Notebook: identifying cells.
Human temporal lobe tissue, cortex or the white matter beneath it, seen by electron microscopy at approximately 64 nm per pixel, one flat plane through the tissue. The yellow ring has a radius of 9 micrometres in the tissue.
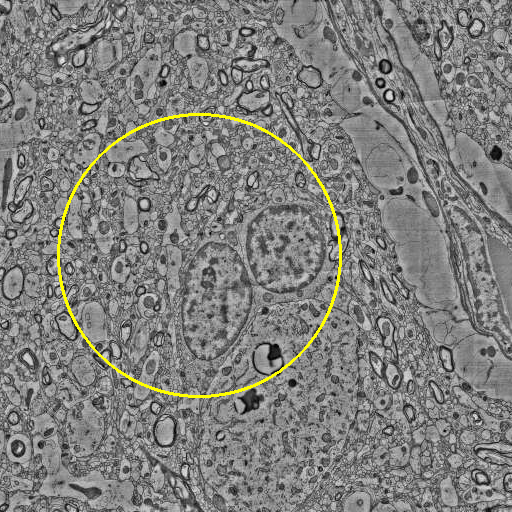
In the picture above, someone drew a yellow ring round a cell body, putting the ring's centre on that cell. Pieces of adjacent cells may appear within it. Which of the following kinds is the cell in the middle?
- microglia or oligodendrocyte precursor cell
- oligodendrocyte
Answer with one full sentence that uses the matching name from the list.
In this picture, the yellow ring is centred on the body of an oligodendrocyte.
